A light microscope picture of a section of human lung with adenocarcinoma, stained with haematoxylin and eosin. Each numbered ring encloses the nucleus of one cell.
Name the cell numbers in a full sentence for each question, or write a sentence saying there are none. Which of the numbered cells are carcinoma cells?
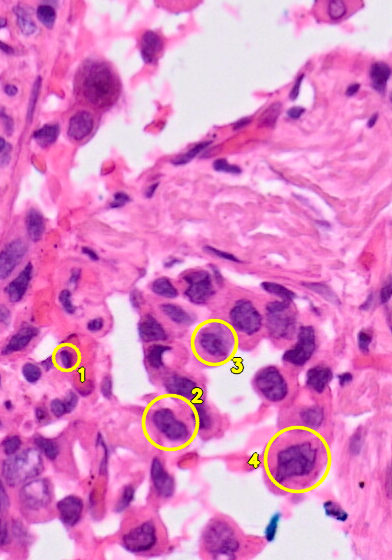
The numbers 2, 3 and 4 refer to cells that are carcinoma cells.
